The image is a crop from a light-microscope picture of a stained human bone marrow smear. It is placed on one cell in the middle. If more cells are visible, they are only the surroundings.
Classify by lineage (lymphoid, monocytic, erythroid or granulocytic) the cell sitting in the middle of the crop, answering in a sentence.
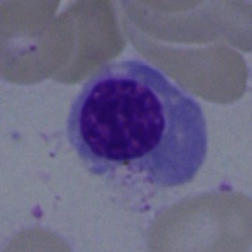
The cell at the center of this crop is from the erythroid lineage.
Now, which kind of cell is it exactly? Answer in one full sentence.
The central cell in this smear crop is an erythroblast.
